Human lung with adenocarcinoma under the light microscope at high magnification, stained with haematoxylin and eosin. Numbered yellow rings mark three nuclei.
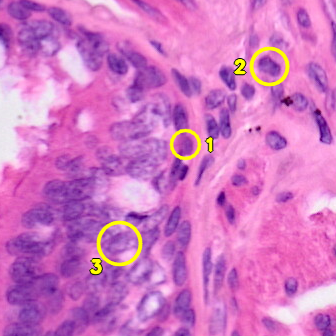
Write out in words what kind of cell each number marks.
Cells 1 and 3 are ciliated epithelial cells. Cell 2 is a lymphocyte.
